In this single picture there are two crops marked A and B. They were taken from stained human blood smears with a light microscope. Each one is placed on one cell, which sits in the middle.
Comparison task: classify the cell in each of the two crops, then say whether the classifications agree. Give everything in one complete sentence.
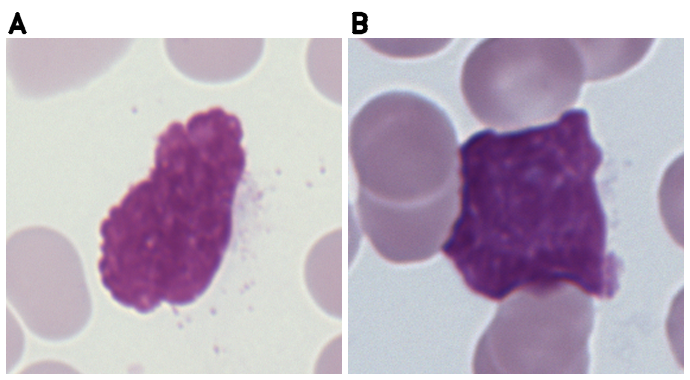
Yes, the cells under consideration in both crops are smudge cells.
